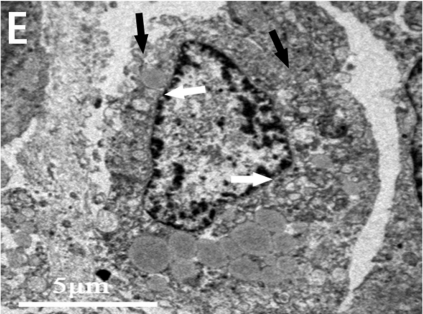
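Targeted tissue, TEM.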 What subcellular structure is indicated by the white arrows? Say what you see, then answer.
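The white arrows point at the edge of a large irregular nucleus. Dark clumped chromatin lines the nuclear margin. That points to this answer: nucear membranes.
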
